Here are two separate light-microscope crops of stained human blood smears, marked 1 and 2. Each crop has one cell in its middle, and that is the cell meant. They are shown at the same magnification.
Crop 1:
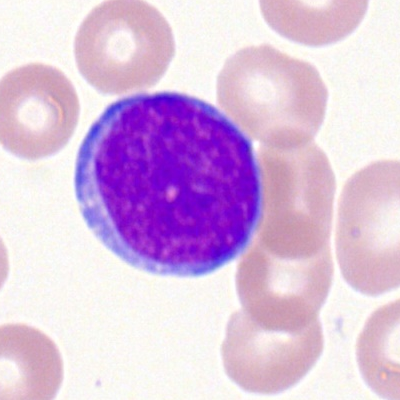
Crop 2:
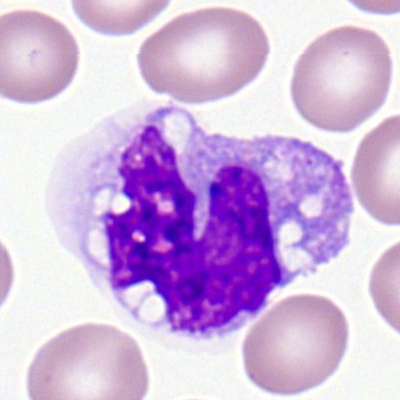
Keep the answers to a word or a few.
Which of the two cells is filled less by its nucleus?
2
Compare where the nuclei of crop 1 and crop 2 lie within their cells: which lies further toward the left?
2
